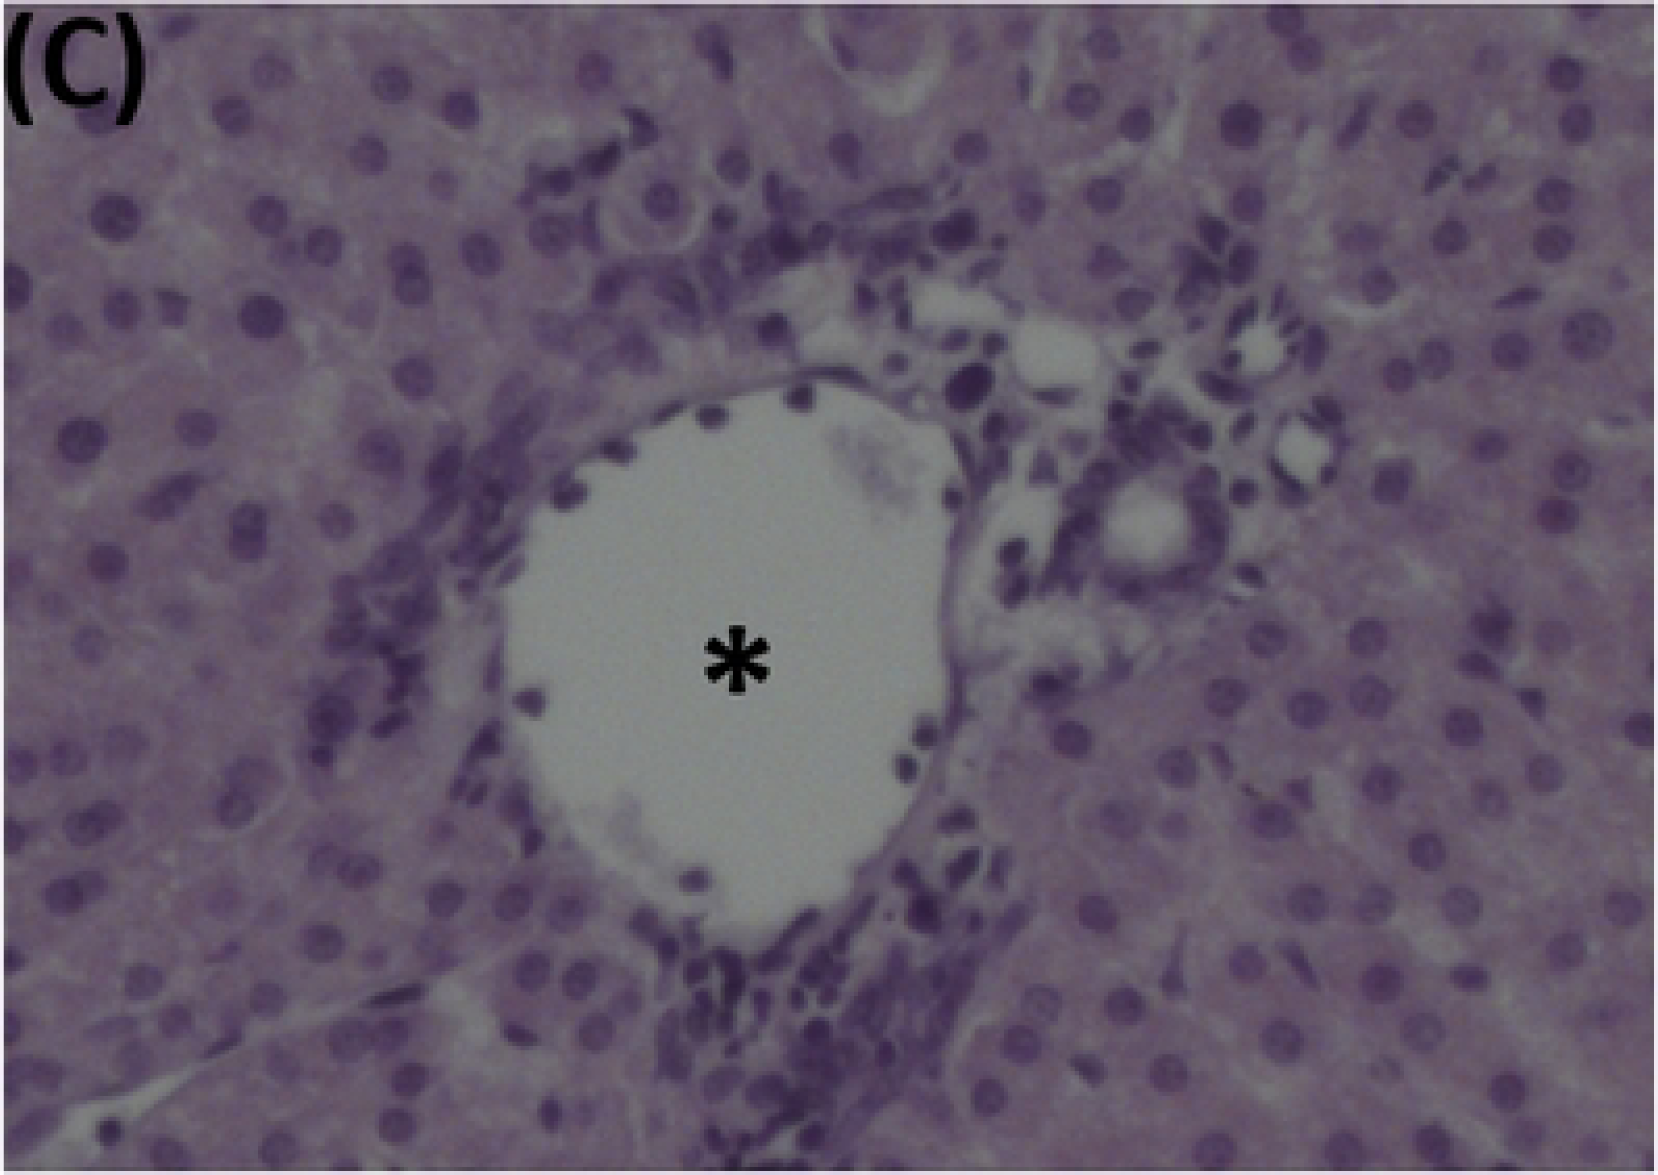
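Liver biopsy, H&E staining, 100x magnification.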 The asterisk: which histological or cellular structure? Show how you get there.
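Portal vein. The asterisk lies in a large rounded empty lumen. Beside it are smaller ducts and vessels in a cellular connective tissue. Hepatocyte cords surround the whole area.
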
